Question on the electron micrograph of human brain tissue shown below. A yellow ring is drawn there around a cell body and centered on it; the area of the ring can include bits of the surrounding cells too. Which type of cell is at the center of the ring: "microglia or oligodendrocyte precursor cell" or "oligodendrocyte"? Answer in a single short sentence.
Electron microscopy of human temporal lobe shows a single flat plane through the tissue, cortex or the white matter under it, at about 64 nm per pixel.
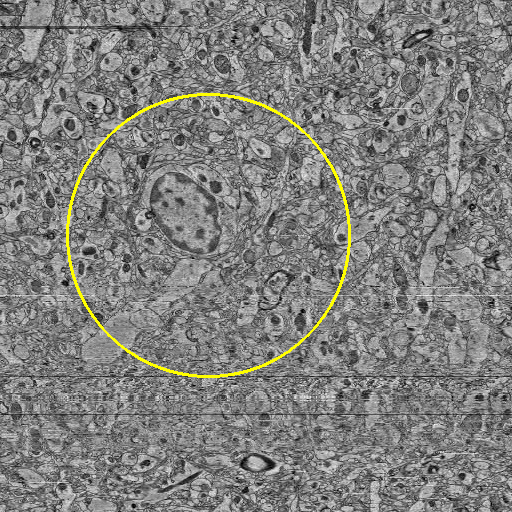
The ring is centered on a microglial cell or oligodendrocyte precursor cell.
